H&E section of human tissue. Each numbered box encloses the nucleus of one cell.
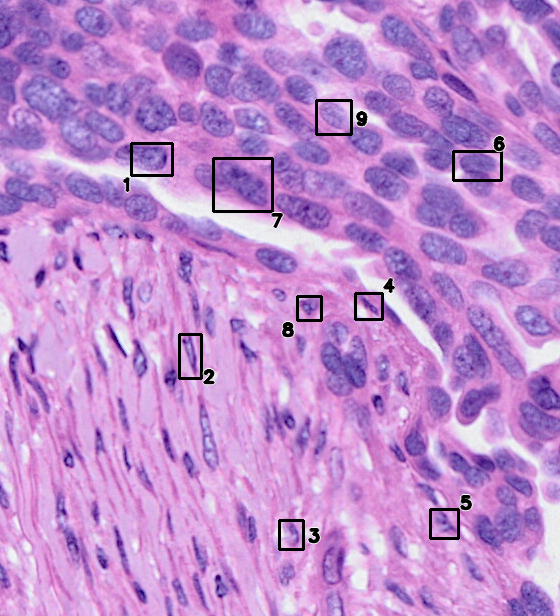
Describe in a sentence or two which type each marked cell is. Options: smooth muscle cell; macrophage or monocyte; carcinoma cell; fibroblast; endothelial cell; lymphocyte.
Cells 1, 6, 7 and 9 are carcinoma cells. Cells 2, 3, 4, 5 and 8 are fibroblasts.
